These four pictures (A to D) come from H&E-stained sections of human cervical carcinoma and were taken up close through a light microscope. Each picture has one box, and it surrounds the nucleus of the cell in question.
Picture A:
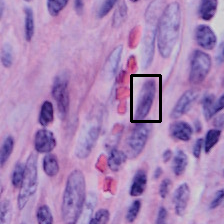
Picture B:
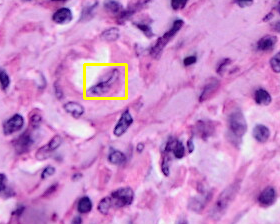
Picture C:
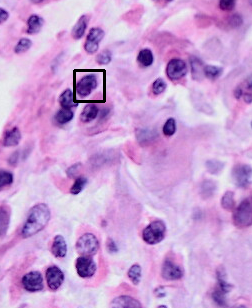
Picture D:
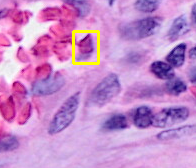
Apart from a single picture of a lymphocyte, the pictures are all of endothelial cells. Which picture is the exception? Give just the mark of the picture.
C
